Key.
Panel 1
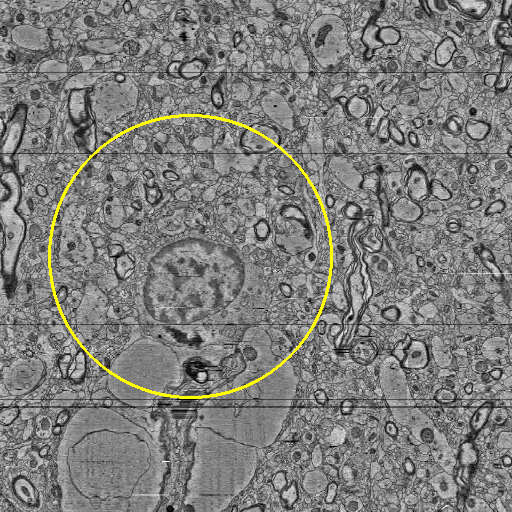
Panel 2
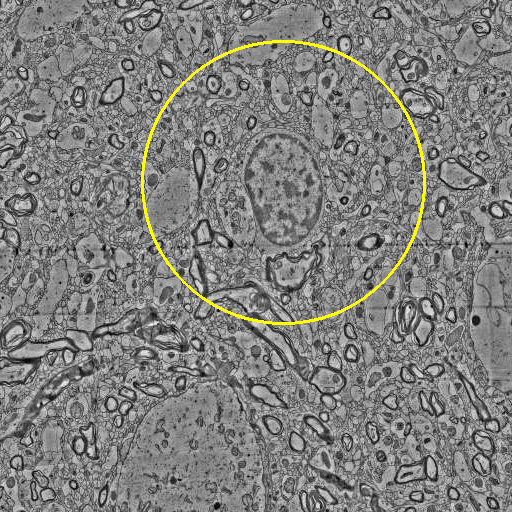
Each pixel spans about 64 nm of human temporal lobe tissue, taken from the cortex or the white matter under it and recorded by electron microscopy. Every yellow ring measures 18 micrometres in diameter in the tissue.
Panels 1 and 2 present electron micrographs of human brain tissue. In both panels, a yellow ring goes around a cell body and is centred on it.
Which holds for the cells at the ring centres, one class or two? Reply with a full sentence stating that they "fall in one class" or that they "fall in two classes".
Taken together, the ring-centre cells of the two panels fall in one class.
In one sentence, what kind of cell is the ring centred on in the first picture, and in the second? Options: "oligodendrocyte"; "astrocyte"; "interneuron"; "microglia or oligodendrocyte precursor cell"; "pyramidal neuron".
In each of the two pictures, the ringed cell is an oligodendrocyte.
